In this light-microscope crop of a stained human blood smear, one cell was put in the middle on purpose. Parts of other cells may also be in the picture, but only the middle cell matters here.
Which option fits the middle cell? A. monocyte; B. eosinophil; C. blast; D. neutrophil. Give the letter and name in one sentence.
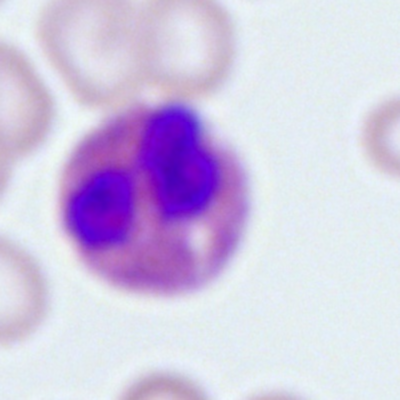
The one to choose is option B, as the cell in the middle is an eosinophil.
